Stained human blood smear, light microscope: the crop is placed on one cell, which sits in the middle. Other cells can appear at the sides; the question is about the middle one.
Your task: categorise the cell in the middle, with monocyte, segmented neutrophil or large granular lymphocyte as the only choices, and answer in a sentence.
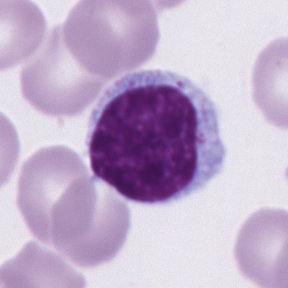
The central element of this crop is a cell, namely a large granular lymphocyte.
